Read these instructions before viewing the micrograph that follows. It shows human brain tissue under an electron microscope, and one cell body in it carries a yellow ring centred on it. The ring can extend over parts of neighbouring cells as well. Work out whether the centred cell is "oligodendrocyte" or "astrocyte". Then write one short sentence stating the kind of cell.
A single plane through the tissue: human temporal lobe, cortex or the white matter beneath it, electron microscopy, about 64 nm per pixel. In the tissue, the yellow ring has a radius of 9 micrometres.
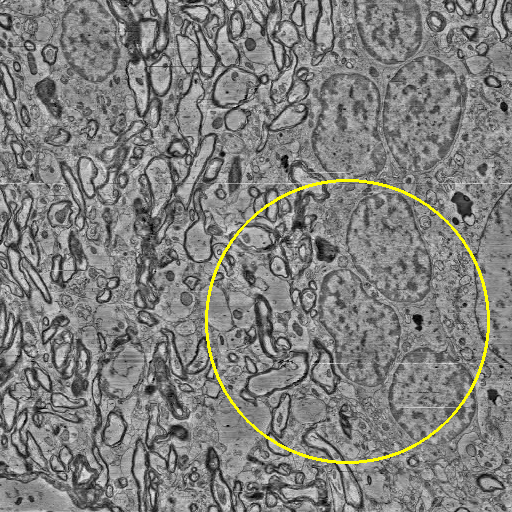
The ringed cell is an oligodendrocyte.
